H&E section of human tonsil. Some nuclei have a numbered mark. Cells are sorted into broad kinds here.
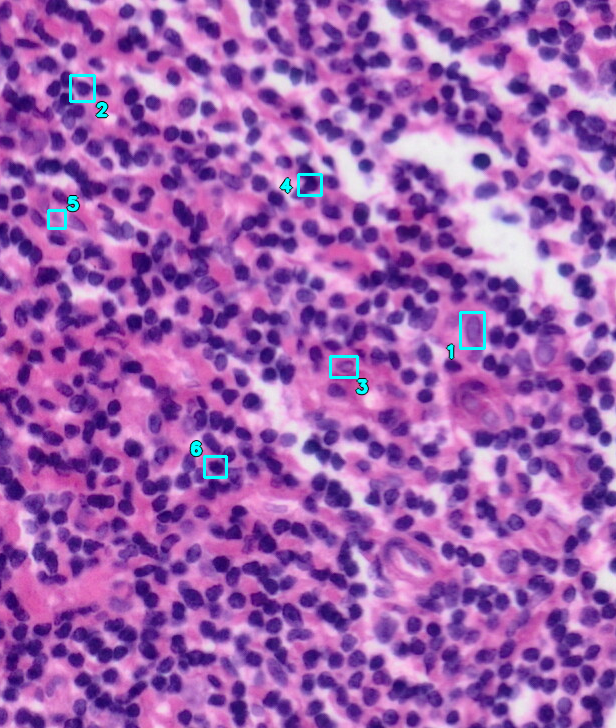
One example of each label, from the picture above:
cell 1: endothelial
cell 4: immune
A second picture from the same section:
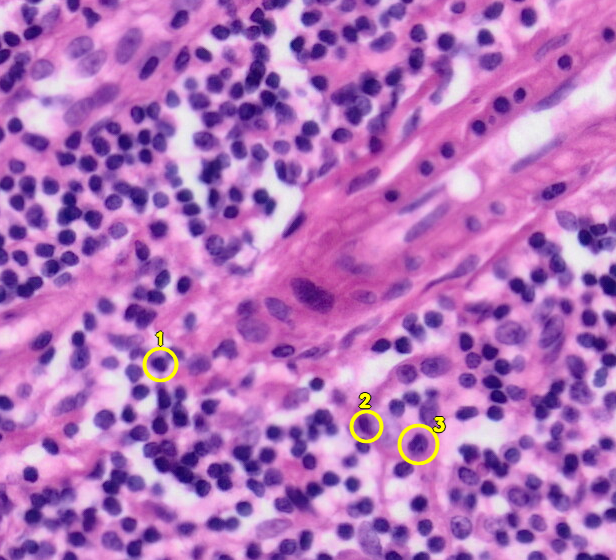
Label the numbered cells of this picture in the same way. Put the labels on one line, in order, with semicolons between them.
immune; endothelial; endothelial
